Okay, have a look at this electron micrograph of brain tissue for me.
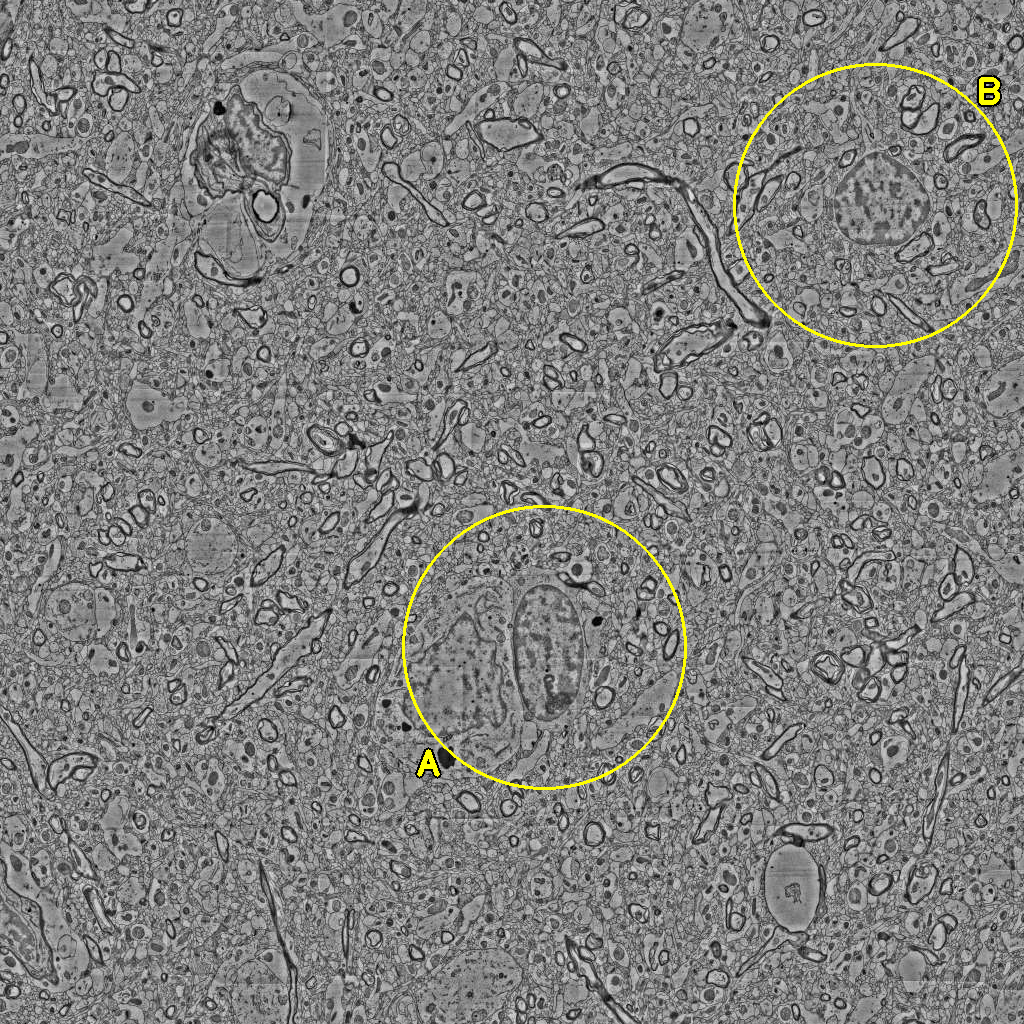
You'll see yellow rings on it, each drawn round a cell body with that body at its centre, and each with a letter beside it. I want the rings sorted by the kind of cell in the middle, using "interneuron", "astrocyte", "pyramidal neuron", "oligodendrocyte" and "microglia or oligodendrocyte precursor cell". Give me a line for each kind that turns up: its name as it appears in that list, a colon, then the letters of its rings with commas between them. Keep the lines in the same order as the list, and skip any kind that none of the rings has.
oligodendrocyte: A
microglia or oligodendrocyte precursor cell: B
